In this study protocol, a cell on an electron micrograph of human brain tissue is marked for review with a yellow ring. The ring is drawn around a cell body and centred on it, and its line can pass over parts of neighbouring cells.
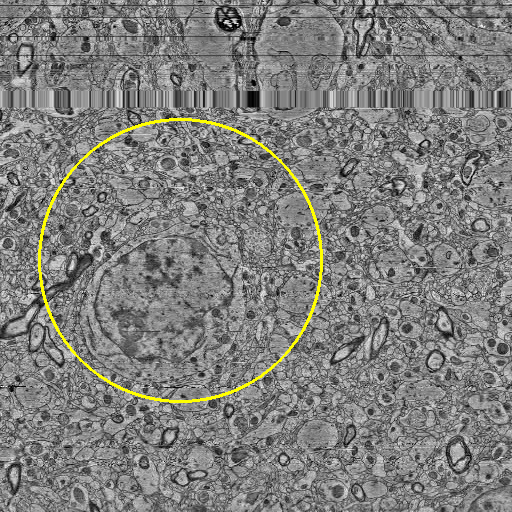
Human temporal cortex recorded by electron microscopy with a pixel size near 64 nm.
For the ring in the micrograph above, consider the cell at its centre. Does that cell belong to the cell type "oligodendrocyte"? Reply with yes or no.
no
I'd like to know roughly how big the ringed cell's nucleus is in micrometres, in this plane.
Approximately 9 micrometres across, in this plane.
